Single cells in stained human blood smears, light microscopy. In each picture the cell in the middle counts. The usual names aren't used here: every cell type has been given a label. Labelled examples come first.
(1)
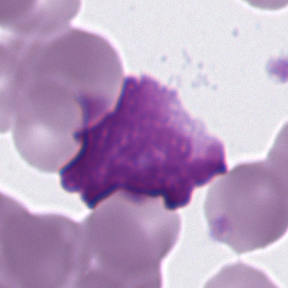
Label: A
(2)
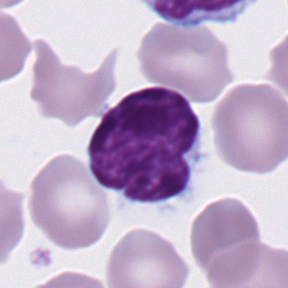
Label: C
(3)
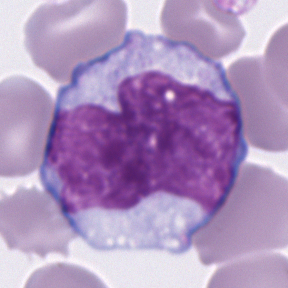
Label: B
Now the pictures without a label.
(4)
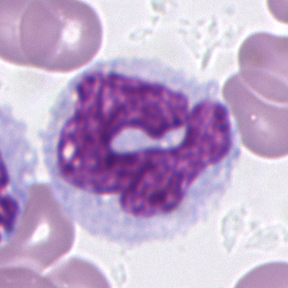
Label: B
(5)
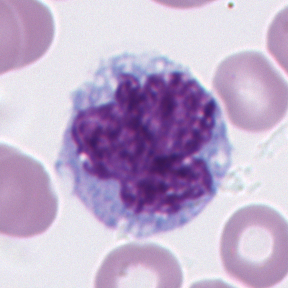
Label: B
